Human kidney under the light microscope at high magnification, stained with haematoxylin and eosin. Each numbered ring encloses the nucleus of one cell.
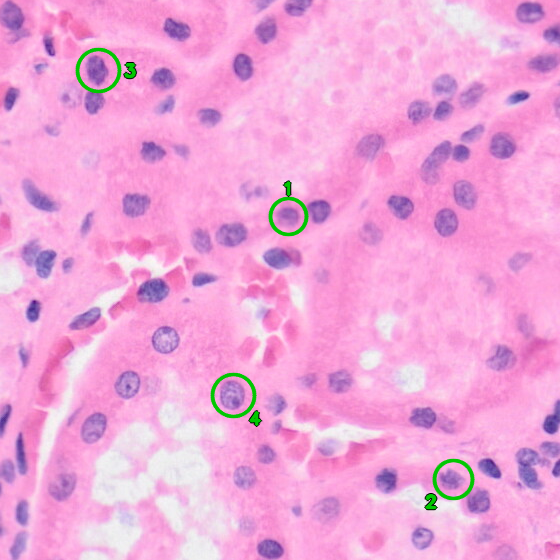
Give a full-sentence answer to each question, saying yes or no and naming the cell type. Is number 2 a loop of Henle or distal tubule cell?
Yes, kindly take note: the cell numbered 2 is a loop of Henle or distal tubule cell.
